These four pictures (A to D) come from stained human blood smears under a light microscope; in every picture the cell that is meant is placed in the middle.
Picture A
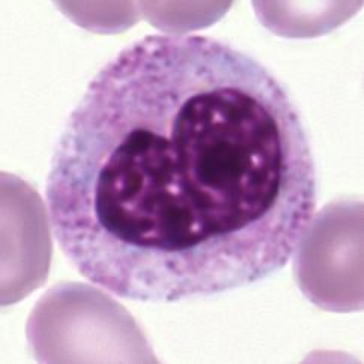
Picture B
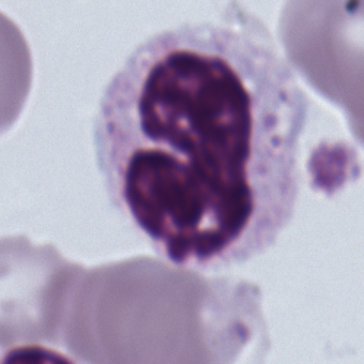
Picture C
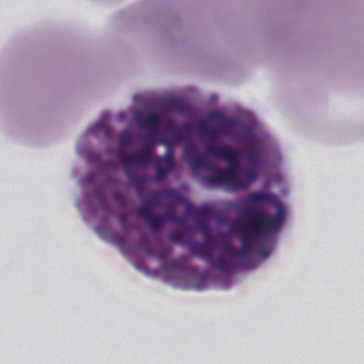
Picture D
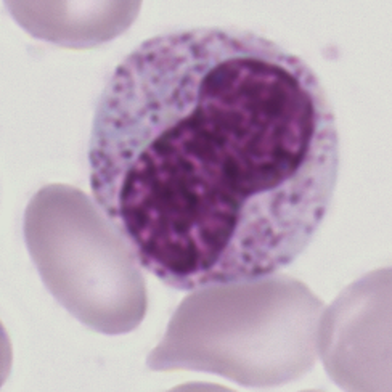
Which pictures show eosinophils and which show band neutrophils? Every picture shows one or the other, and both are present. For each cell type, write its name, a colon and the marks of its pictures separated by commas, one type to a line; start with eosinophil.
eosinophil: C
band neutrophil: A, B, D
